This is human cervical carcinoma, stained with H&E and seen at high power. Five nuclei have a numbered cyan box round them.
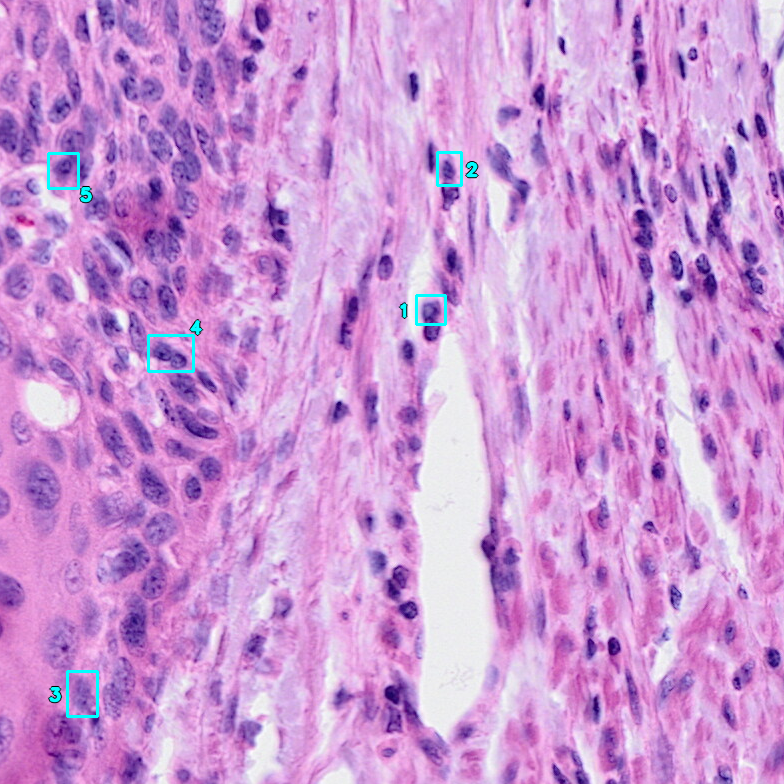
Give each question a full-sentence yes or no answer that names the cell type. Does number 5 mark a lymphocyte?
No, a squamous carcinoma cell is what cell 5 is, not a lymphocyte.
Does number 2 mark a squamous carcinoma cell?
No. Cell number 2 is a lymphocyte, not a squamous carcinoma cell.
